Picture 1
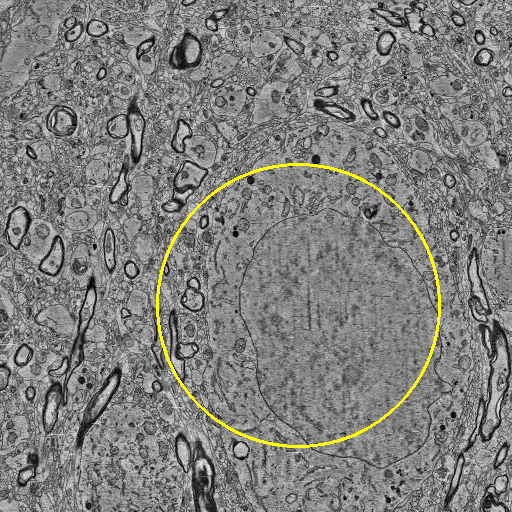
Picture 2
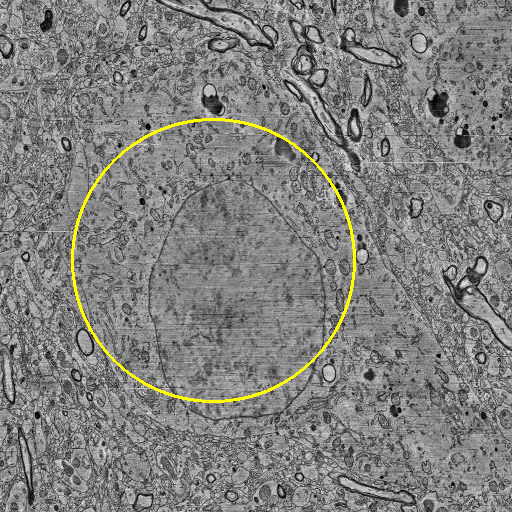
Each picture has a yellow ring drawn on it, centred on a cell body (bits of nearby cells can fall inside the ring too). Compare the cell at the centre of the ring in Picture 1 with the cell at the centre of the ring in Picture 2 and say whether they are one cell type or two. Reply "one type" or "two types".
one type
